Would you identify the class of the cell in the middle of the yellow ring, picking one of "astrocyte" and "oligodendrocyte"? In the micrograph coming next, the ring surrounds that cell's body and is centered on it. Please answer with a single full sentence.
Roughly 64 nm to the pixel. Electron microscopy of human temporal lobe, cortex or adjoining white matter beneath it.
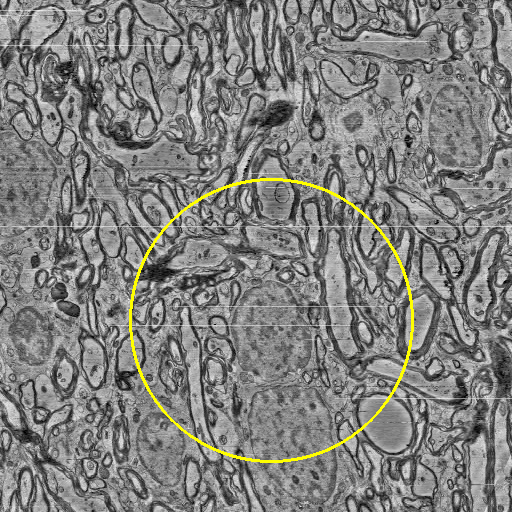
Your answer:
In the micrograph, it is an oligodendrocyte whose body lies at the ring's center.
